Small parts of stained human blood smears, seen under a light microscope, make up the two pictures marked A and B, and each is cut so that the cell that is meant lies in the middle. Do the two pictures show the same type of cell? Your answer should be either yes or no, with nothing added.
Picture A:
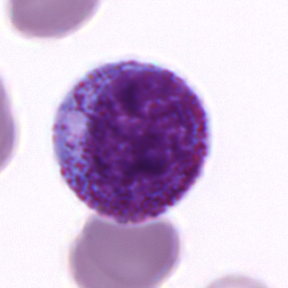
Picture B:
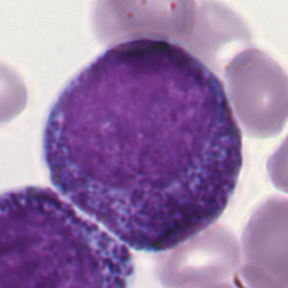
yes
